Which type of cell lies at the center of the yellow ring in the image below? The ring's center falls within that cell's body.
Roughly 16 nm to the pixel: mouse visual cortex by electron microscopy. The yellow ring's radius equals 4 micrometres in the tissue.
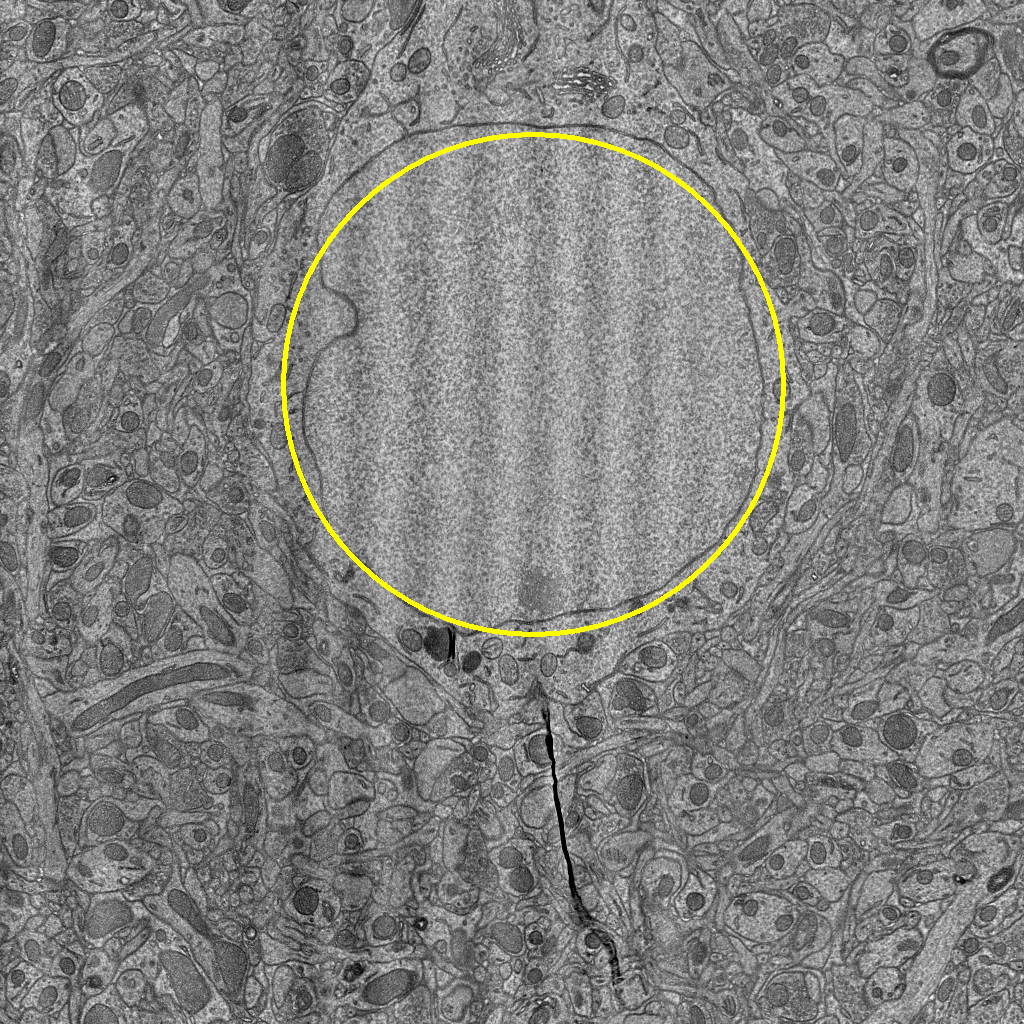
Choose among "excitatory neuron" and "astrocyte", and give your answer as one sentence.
The cell body at the center belongs to an excitatory neuron.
